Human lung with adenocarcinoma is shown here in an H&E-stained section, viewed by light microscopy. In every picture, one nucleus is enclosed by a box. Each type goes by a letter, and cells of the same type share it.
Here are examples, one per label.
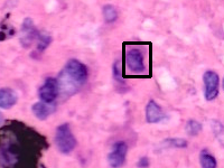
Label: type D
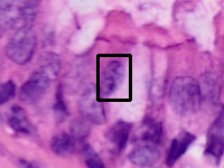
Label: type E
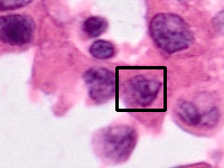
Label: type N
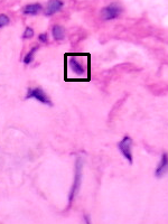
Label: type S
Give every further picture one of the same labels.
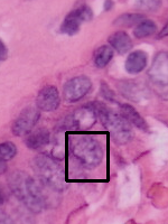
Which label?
type E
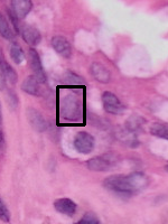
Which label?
type E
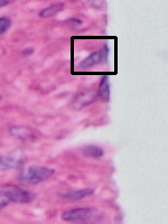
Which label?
type S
